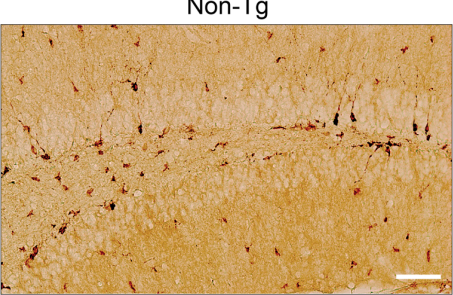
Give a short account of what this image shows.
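A curved band of densely packed, small round cell bodies stained pale tan forms the granule cell layer. Along its inner border lies a row of darkly stained cell bodies, several of which send long thin processes outward, running across the packed band roughly at right angles to it. The background neuropil is finely textured and light tan.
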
